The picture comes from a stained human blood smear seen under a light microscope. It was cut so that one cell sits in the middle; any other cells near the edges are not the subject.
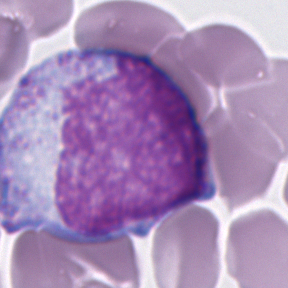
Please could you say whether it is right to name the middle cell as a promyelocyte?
yes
